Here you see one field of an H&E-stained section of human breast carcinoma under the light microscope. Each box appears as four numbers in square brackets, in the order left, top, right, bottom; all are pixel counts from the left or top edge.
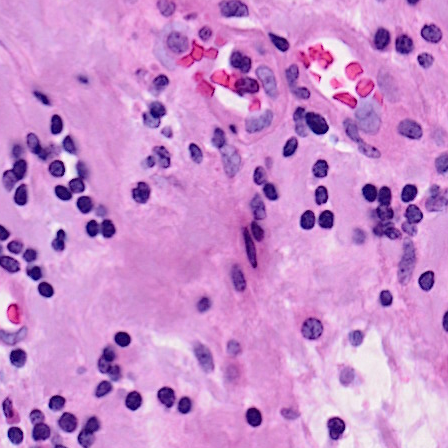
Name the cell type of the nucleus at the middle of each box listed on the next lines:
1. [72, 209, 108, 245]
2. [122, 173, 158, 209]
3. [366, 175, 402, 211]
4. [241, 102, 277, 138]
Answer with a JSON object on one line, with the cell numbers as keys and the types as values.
{"1": "lymphocyte", "2": "lymphocyte", "3": "lymphocyte", "4": "endothelial cell"}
